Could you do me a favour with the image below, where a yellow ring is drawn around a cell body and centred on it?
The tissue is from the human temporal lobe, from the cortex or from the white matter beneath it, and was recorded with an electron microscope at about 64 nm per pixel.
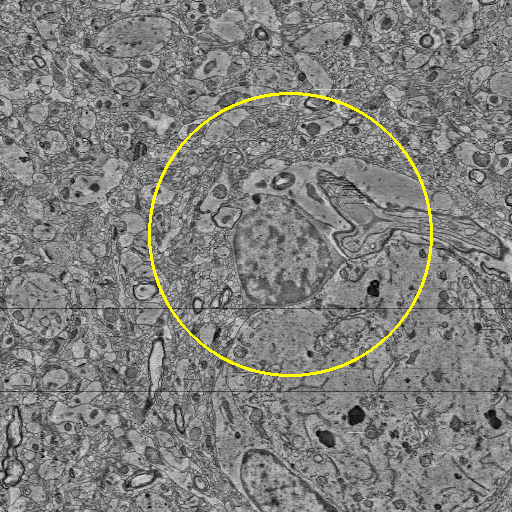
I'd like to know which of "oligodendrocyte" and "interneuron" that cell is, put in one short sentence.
The cell at the ring's centre is an oligodendrocyte.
